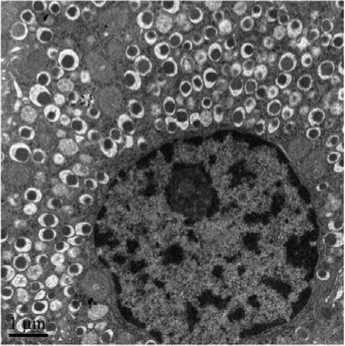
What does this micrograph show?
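This electron micrograph shows a pancreatic beta cell with a large round nucleus in the lower right, containing dark clumps of heterochromatin along its envelope and a nucleolus. The surrounding cytoplasm is crowded with round secretory granules, most with a dense dark core set in a pale halo.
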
